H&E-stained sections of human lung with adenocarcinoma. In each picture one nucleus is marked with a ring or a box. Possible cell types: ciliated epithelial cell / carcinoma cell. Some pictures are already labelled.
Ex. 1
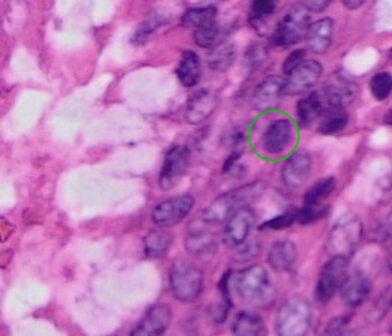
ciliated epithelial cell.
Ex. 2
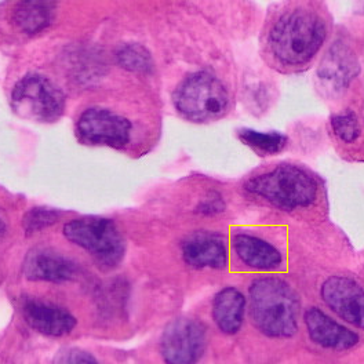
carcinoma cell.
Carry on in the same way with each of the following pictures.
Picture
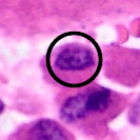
carcinoma cell.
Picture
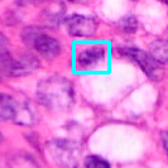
ciliated epithelial cell.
